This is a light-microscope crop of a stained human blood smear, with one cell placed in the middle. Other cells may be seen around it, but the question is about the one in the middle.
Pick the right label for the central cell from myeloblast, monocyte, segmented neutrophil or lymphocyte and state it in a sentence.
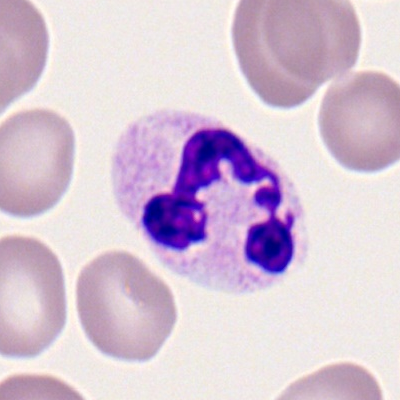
The cell sitting right in the middle is a segmented neutrophil.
